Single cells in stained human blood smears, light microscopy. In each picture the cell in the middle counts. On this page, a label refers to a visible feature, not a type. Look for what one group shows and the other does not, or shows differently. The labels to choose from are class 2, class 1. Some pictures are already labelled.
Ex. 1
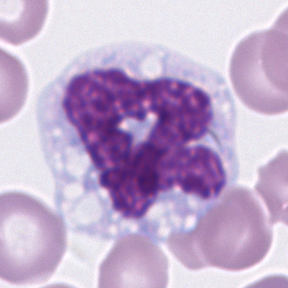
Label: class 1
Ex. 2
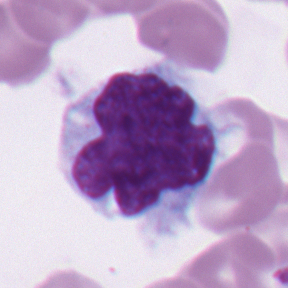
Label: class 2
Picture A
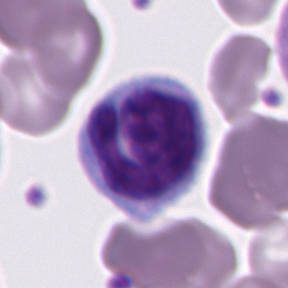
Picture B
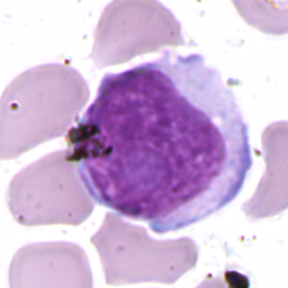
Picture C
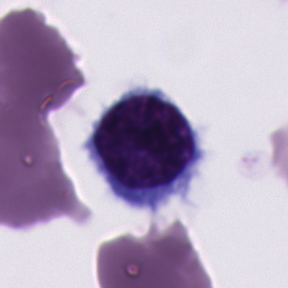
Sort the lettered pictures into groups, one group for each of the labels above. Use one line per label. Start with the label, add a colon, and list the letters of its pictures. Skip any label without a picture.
class 2: A, B, C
